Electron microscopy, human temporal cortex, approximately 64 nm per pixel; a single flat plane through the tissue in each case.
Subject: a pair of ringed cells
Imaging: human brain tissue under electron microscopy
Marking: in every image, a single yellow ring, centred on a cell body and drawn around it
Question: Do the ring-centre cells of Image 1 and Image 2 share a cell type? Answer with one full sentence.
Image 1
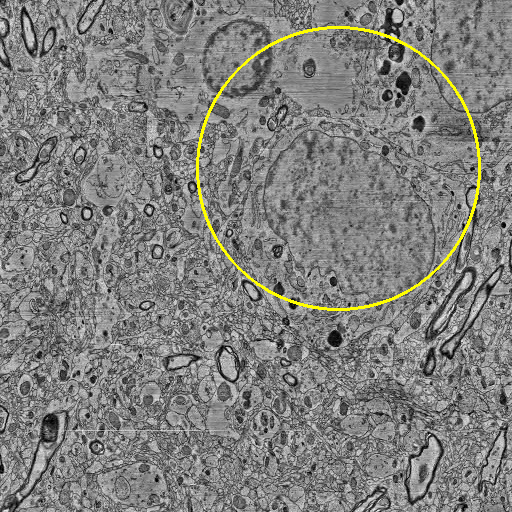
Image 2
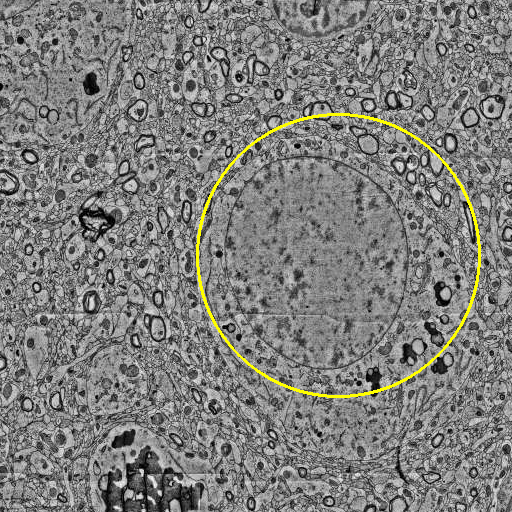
No, at the ring centres in the images sit cells of two separate types.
